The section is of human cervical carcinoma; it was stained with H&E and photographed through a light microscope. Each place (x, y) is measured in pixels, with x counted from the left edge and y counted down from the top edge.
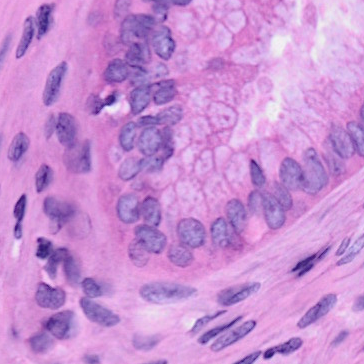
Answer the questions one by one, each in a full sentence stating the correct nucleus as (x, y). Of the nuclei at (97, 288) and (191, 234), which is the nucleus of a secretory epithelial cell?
The nucleus of a secretory epithelial cell is the one at (191, 234).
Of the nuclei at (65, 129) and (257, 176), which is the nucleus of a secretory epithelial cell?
Of these two nuclei, it is the one at (257, 176) that belongs to a secretory epithelial cell.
